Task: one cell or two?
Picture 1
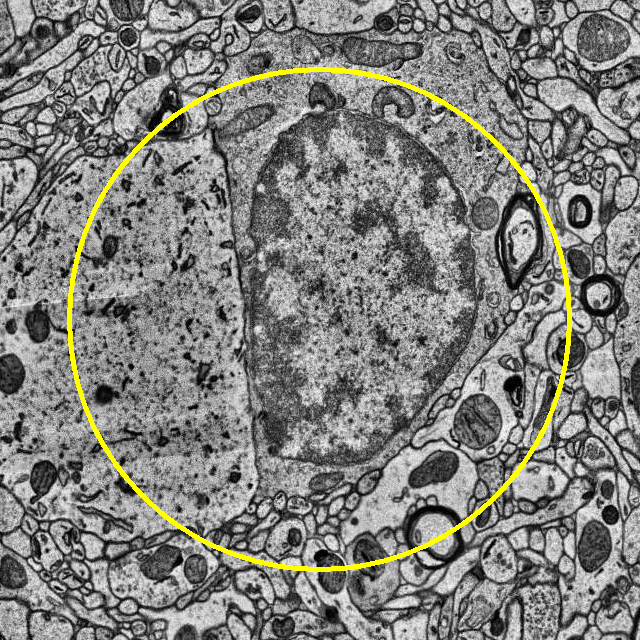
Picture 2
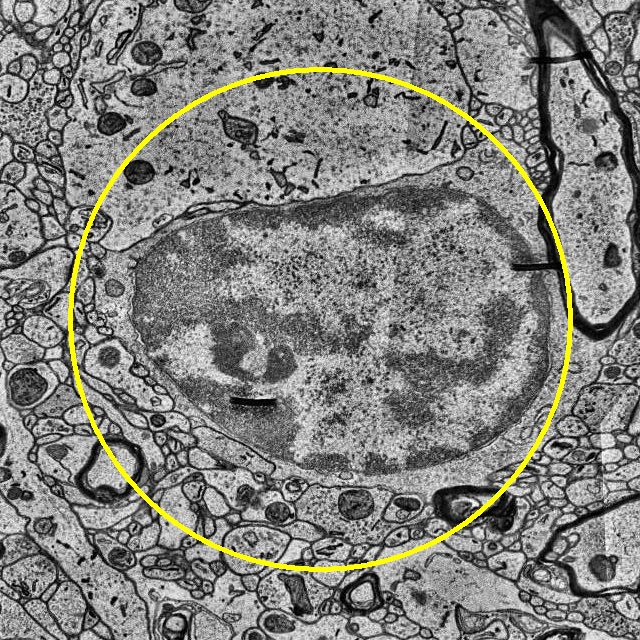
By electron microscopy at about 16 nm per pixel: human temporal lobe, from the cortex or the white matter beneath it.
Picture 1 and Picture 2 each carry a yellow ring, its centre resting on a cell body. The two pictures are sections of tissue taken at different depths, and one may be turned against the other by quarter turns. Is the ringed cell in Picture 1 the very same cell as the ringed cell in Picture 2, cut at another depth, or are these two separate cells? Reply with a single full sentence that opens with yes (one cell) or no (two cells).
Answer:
Yes, the marked cell is the same in both rings.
